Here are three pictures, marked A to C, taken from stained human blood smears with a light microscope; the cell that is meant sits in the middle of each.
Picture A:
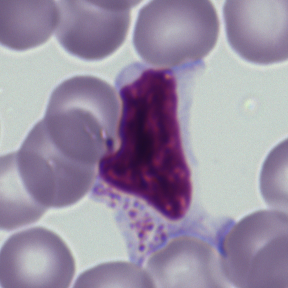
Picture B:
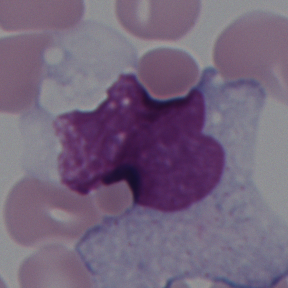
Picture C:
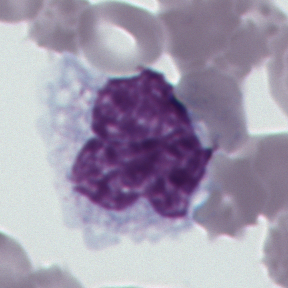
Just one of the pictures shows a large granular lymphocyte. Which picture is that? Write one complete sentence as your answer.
The large granular lymphocyte is the one in picture A.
